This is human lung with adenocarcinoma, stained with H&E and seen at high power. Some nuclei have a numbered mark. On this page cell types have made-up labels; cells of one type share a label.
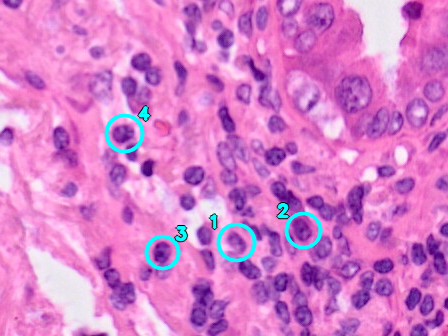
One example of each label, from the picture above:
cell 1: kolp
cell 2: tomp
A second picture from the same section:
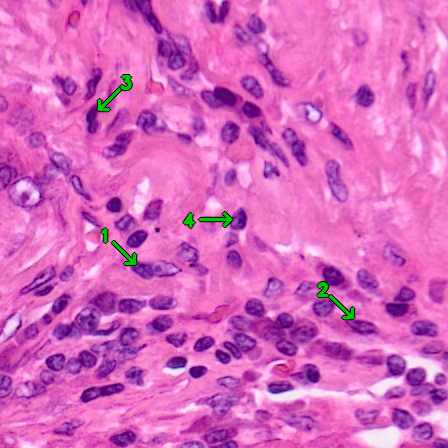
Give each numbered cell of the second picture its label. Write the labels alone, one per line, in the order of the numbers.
kolp
tomp
tomp
kolp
